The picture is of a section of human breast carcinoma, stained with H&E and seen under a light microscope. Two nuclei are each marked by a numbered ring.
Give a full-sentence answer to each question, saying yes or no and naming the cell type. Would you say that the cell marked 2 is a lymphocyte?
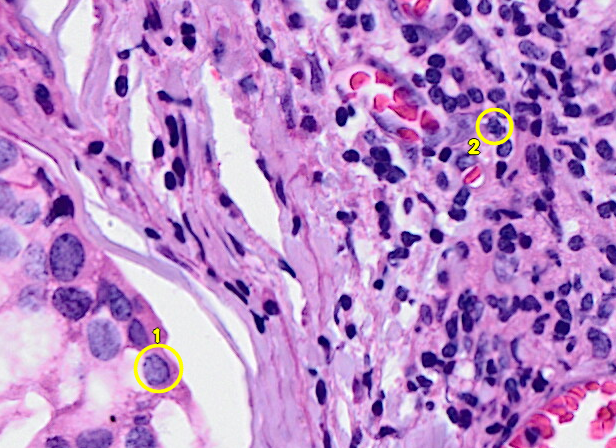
Yes, it checks out; the cell labelled 2 is a lymphocyte.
